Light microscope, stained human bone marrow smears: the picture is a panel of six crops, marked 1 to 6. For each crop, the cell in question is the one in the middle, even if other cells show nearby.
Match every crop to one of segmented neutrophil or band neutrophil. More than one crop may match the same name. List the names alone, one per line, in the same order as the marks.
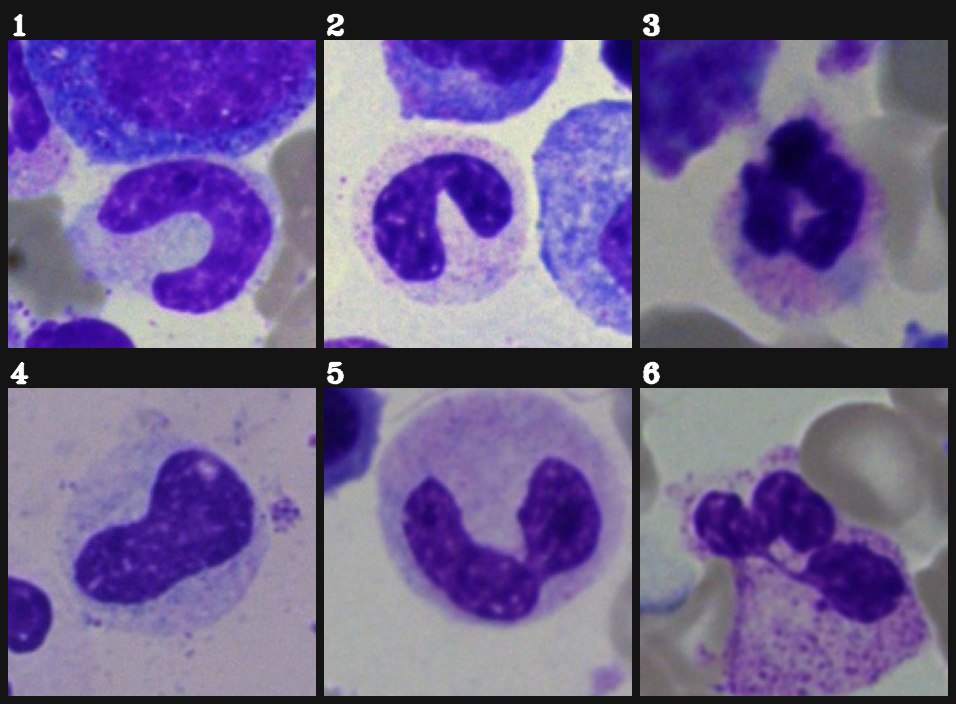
band neutrophil
band neutrophil
segmented neutrophil
band neutrophil
segmented neutrophil
segmented neutrophil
